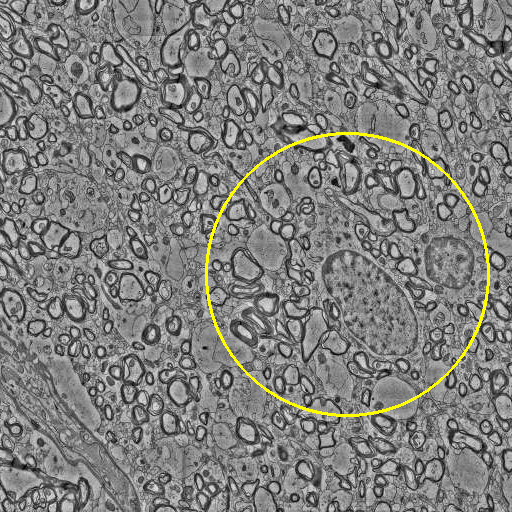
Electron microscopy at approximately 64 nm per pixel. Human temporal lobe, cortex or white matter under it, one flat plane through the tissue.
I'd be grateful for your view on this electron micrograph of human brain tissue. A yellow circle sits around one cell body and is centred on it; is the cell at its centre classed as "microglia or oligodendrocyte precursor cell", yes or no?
yes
